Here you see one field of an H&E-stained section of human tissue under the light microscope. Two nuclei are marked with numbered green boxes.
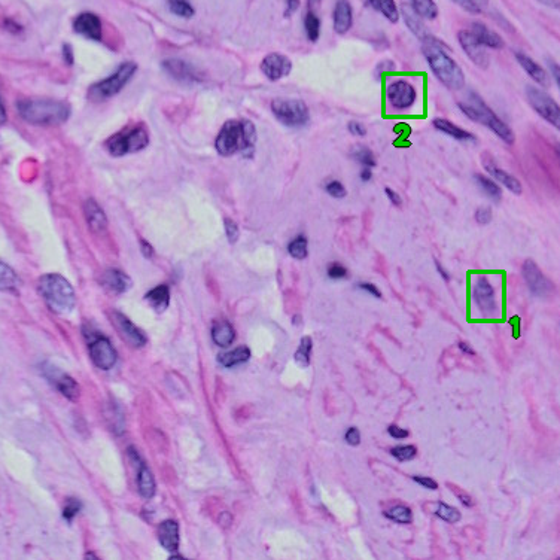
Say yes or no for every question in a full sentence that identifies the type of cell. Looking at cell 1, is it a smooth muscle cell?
Yes, the cell at marker 1 is a smooth muscle cell.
